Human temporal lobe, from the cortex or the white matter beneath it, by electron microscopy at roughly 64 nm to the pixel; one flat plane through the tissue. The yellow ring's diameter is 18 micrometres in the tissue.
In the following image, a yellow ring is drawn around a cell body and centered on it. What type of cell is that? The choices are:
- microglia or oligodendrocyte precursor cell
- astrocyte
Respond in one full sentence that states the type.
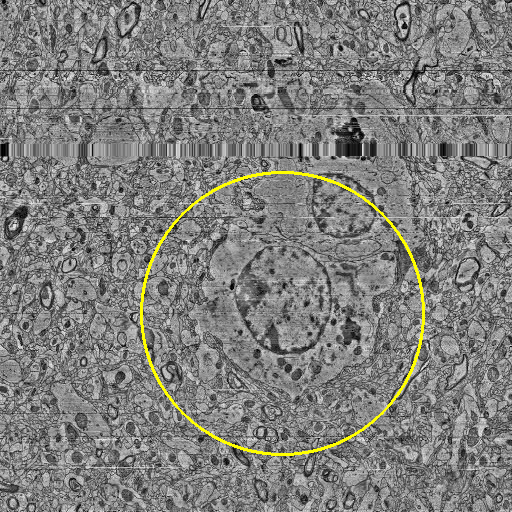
The cell at the center of the yellow ring in the image is an astrocyte.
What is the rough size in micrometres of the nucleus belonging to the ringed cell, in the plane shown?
About 7 micrometres across in this plane, for the nucleus.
